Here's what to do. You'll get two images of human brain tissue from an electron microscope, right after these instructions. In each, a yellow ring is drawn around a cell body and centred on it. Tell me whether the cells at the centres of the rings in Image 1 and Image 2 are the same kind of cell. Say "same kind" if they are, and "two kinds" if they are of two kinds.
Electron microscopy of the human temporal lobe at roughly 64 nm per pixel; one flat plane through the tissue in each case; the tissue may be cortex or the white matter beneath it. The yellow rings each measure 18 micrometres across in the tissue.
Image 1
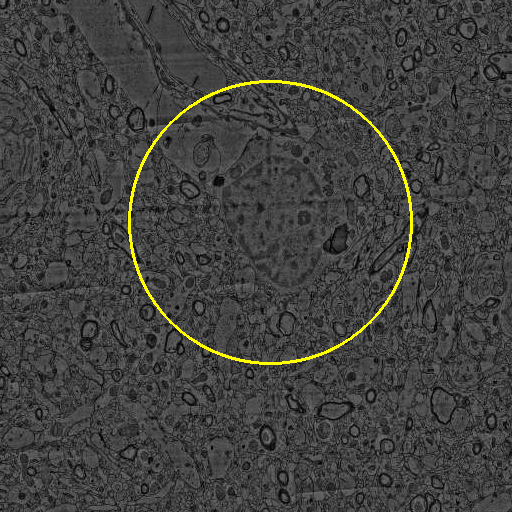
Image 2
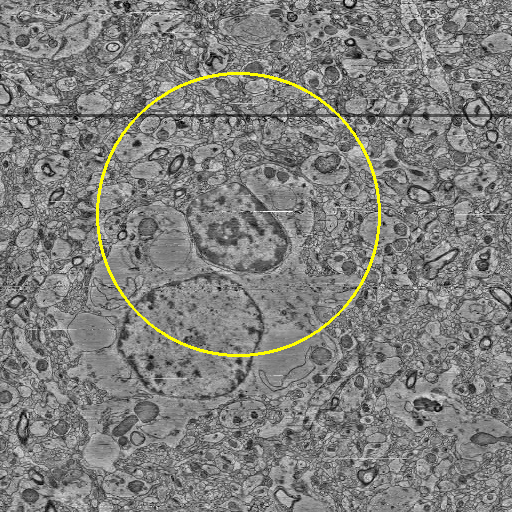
two kinds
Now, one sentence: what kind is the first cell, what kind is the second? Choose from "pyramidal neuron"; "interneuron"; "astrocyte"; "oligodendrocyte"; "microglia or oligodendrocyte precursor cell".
The first picture has an oligodendrocyte at its ring centre, and the second has a microglial cell or oligodendrocyte precursor cell.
